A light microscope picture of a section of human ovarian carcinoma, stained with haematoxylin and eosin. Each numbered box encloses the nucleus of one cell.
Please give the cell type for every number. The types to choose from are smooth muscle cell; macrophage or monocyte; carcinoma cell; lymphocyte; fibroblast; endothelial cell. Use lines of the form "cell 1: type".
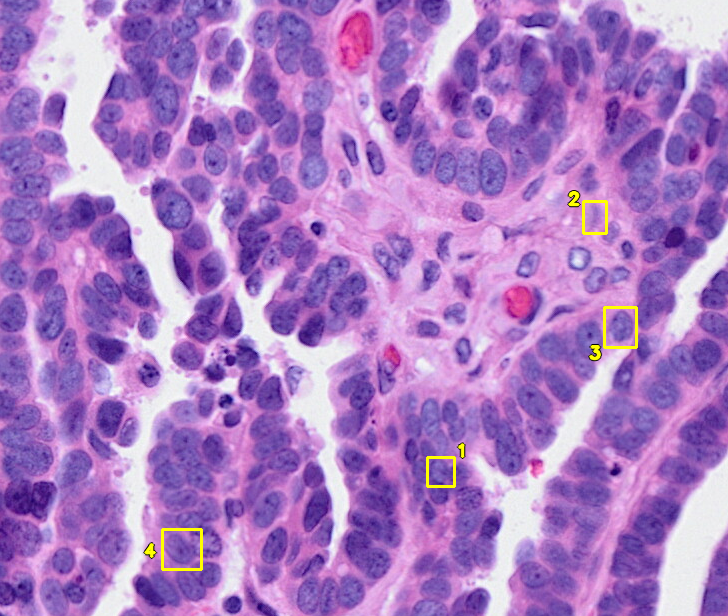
cell 1: carcinoma cell
cell 2: fibroblast
cell 3: carcinoma cell
cell 4: carcinoma cell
